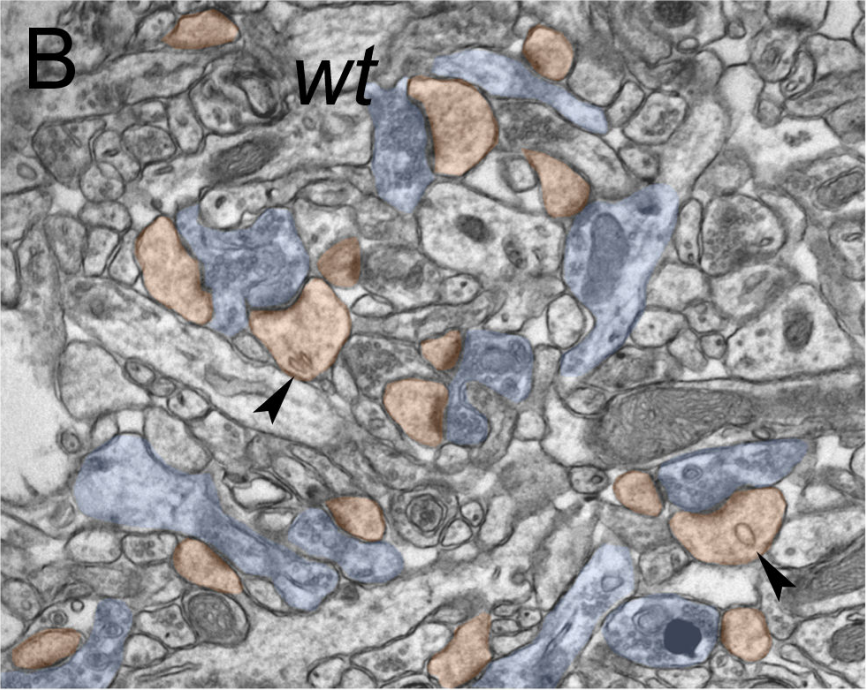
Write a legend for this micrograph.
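Synaptic neuropil in thin section, with many dendritic spines shaded orange and axon terminals shaded blue. Only two spine heads, marked by black arrowheads, contain a small membrane-bound compartment. Between these lie densely packed small axonal profiles, dendritic shafts and a few mitochondria, one cut lengthwise with parallel cristae. One blue terminal holds a dark round inclusion. Membranes are crisp and extracellular space is scant.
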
